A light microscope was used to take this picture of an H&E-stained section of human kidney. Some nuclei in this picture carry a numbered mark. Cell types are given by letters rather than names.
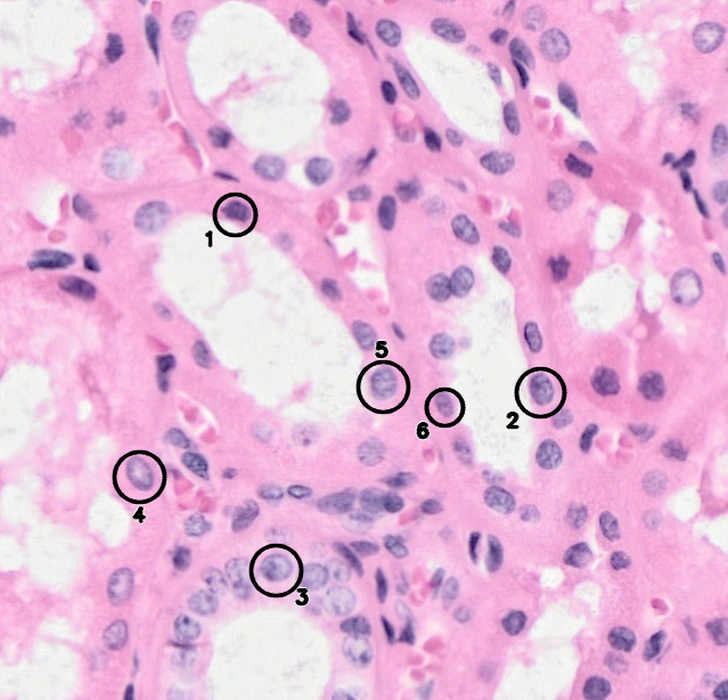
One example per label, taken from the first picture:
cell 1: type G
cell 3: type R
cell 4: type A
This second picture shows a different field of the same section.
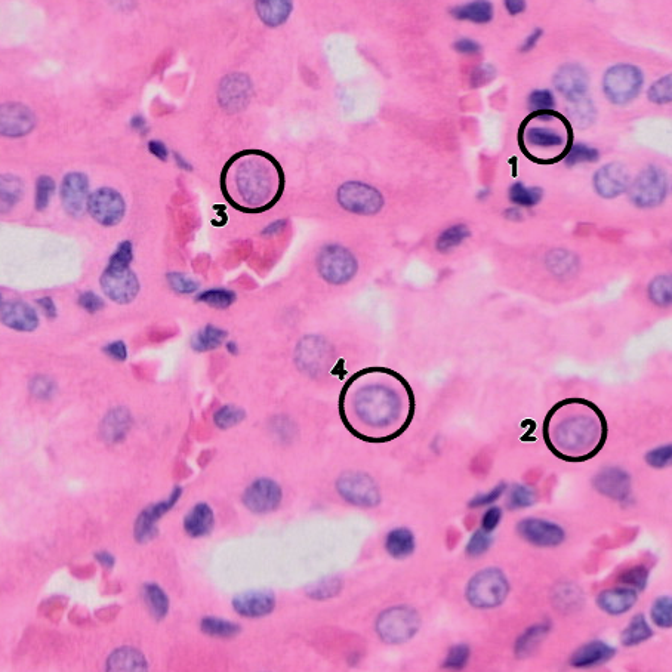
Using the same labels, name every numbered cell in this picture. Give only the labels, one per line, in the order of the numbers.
type R
type A
type A
type A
